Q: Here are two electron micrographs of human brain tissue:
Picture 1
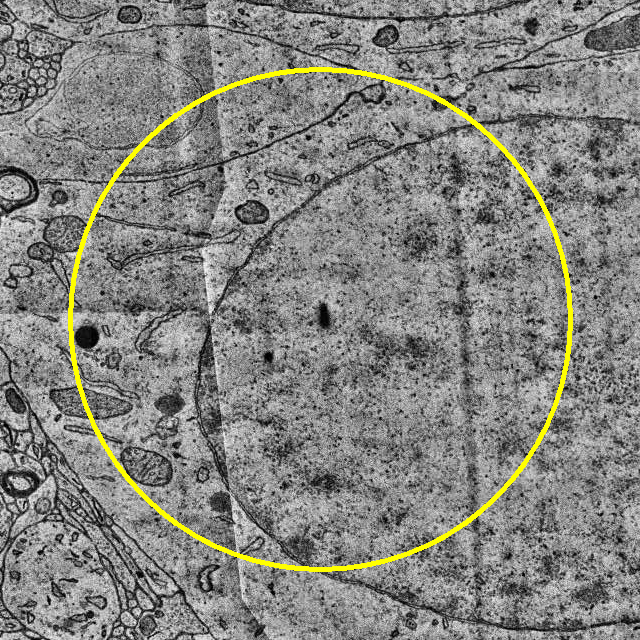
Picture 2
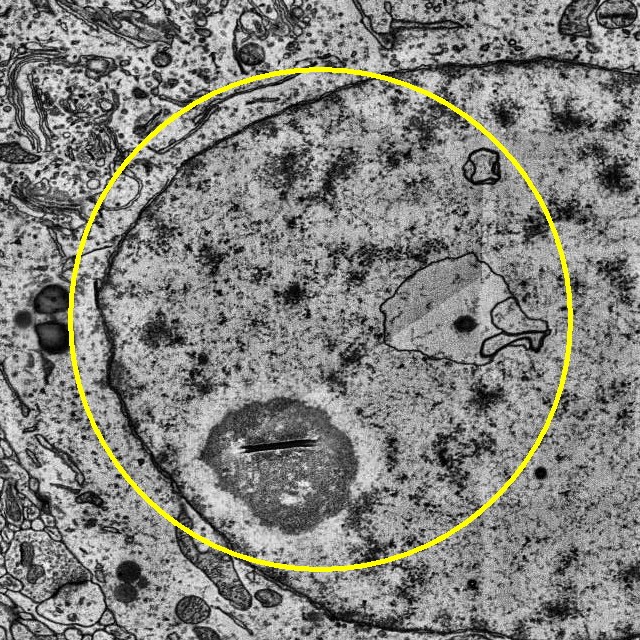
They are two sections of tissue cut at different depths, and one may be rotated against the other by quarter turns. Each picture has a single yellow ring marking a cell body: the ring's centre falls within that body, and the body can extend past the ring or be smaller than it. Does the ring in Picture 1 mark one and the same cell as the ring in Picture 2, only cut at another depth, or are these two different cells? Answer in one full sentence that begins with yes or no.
No, the two rings in this image mark separate cells.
